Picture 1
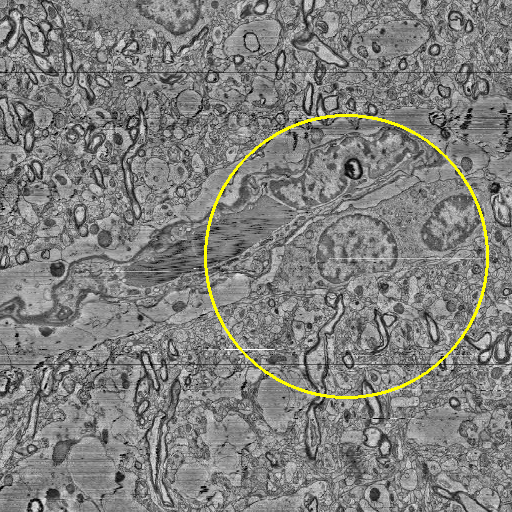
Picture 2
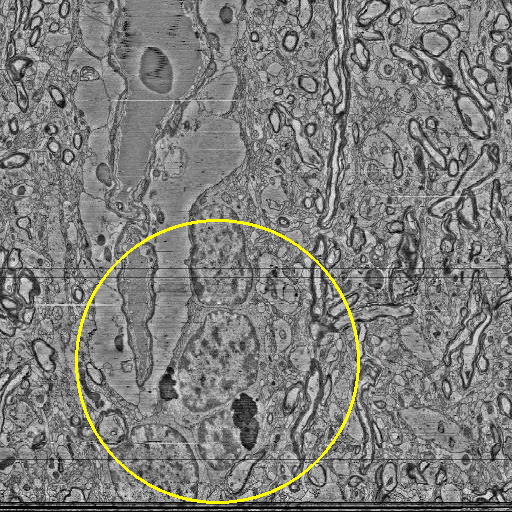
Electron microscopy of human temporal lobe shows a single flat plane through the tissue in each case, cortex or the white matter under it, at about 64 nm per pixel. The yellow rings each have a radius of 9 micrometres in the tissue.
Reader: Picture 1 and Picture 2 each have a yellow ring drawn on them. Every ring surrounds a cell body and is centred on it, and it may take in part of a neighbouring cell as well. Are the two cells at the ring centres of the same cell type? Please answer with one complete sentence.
Yes, both cells are of the same cell type.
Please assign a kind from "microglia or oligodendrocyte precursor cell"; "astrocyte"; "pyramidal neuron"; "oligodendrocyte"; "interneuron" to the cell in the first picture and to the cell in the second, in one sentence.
In both pictures the ring is centred on an oligodendrocyte.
